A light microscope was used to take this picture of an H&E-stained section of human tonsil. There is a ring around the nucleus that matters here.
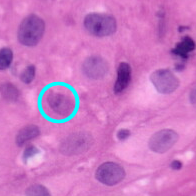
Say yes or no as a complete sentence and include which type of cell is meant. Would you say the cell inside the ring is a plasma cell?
No, the cell inside the ring is regarded as a squamous epithelial cell rather than a plasma cell.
